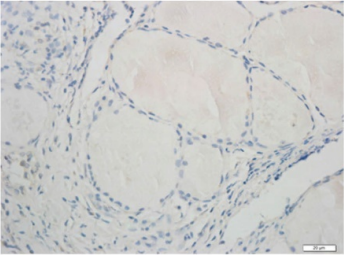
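Noncancerous thyroid tissue made of round follicles filled with pale pink colloid. Each follicle is lined by a single layer of flattened cells with small blue nuclei. Thin connective tissue with scattered spindle nuclei lies between the follicles. Brown stain is nearly absent.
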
